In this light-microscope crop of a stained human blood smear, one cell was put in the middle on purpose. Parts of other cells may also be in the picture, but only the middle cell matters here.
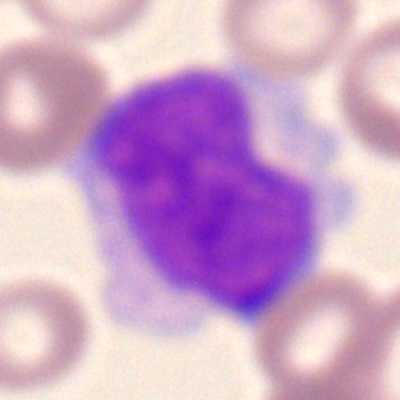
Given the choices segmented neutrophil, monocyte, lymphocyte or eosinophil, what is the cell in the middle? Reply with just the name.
monocyte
